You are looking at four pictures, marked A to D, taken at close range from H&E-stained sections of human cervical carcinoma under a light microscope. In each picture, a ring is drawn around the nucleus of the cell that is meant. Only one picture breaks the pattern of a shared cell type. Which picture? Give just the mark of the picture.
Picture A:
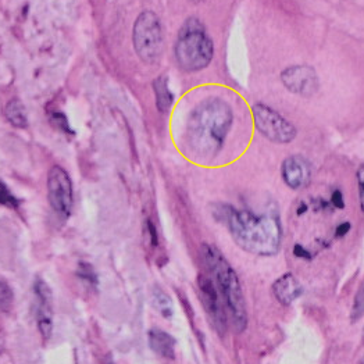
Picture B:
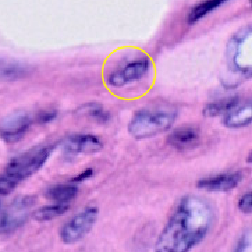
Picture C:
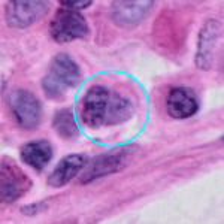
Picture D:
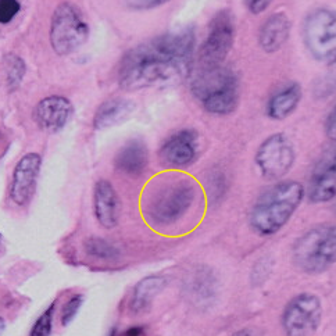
C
